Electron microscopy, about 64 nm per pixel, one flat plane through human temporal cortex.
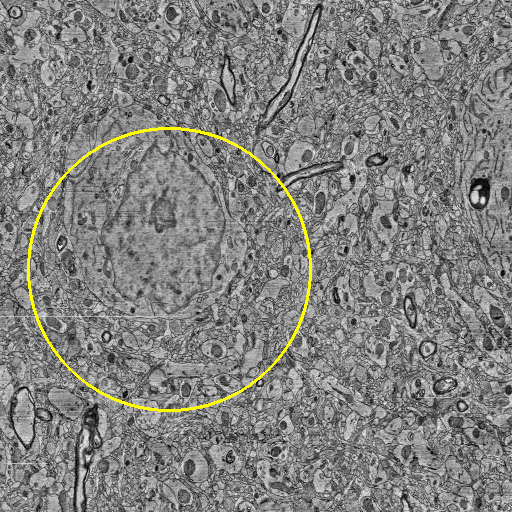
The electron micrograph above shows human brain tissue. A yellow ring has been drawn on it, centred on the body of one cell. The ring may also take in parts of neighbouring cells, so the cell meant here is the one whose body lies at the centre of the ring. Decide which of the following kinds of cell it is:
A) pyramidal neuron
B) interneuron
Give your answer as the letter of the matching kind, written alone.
B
